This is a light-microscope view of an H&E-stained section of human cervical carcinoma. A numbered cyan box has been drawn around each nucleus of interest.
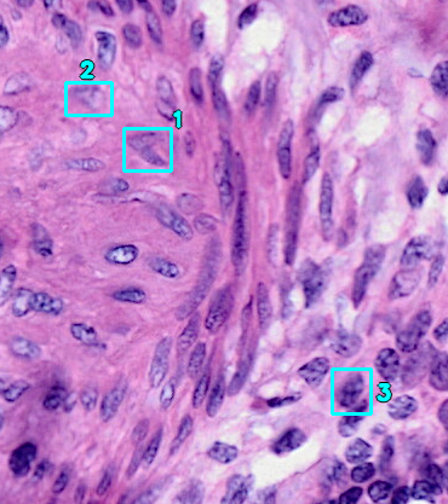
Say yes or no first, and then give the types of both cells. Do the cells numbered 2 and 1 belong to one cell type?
Yes, both of cells 2 and 1 are smooth muscle cells.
